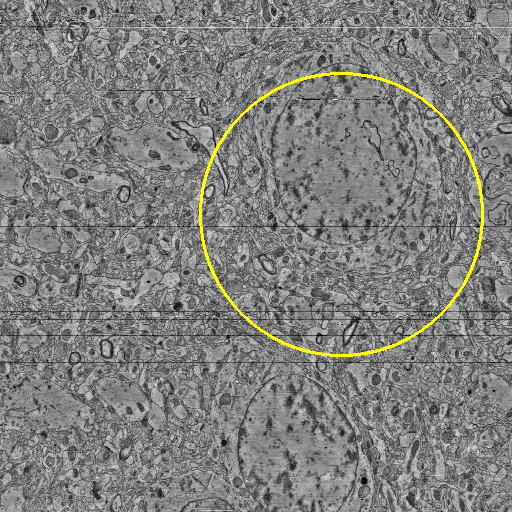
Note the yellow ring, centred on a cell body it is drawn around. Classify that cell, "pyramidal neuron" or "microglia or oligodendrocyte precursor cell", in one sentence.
The cell the ring is centred on is a pyramidal neuron.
